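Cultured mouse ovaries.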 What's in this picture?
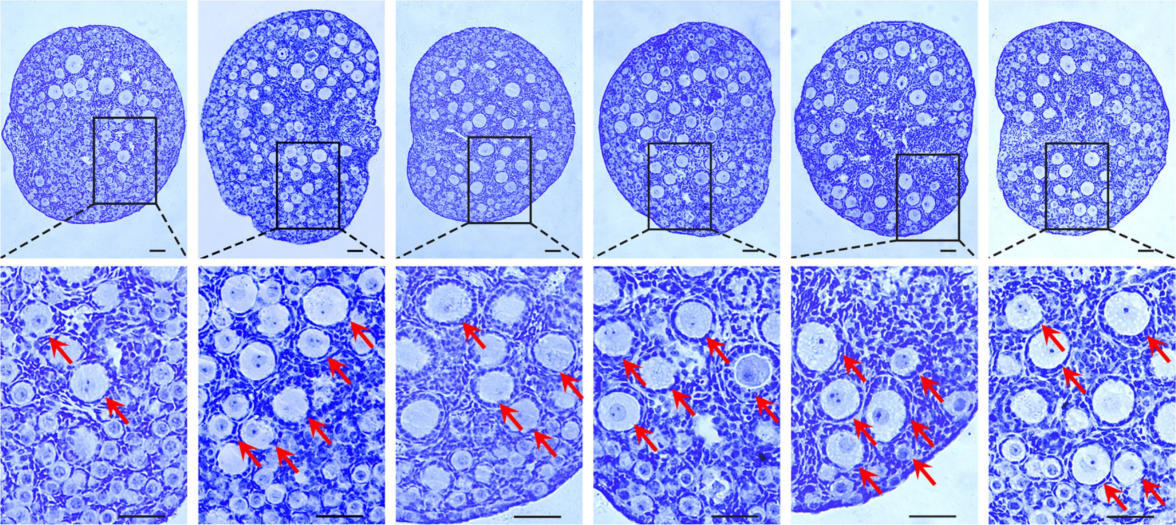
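The tissue is packed with follicles. Many small oocytes lie in clusters near the edge, each wrapped by a thin rim of flattened cells. Deeper in, larger round follicles hold pale oocytes with a distinct nucleus, often with a dark nucleolus. Dense stromal cells with small dark nuclei fill the spaces between the follicles.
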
